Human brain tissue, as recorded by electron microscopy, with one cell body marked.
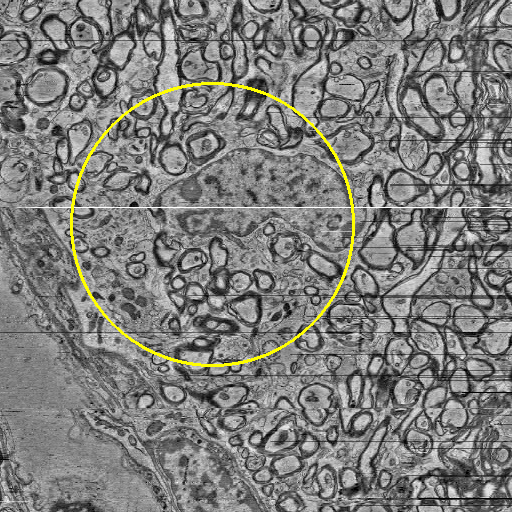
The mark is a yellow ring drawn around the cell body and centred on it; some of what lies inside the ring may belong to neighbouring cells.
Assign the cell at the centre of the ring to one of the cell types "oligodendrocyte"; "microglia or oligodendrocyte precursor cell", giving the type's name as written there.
microglia or oligodendrocyte precursor cell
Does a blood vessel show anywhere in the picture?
Yes, the image shows a blood vessel.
